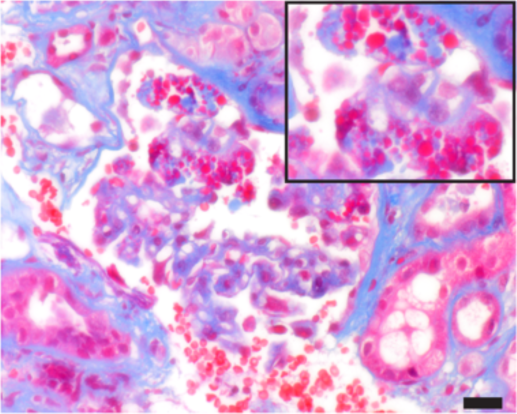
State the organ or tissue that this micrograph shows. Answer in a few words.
glomerulus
